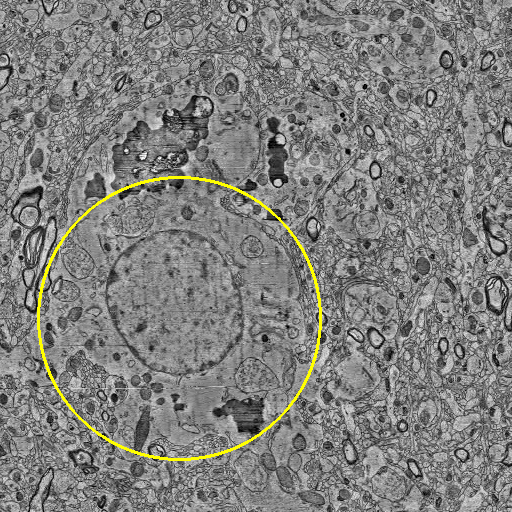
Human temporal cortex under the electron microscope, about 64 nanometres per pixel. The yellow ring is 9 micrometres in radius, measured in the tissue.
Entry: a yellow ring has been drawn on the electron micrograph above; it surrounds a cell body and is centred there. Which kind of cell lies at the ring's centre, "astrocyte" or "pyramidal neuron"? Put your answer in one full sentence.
The cell sitting at the ring's centre is an astrocyte in the micrograph above.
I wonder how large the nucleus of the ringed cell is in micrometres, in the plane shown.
The nucleus measures about 9 micrometers across in this plane.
